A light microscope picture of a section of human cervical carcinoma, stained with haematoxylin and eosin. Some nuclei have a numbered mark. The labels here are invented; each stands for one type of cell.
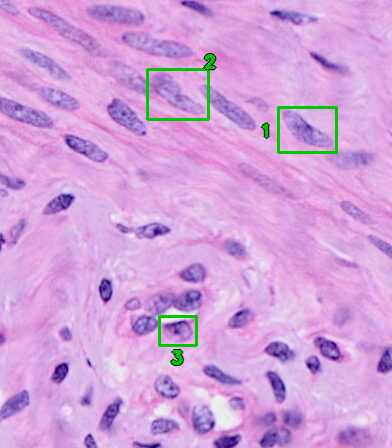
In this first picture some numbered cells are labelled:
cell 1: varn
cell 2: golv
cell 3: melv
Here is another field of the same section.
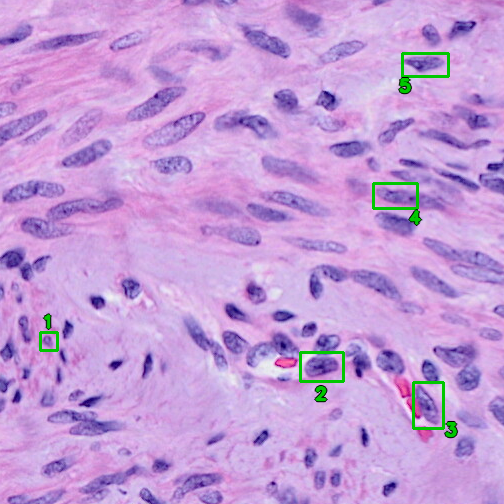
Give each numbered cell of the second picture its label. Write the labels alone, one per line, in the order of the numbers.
golv
melv
melv
golv
varn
